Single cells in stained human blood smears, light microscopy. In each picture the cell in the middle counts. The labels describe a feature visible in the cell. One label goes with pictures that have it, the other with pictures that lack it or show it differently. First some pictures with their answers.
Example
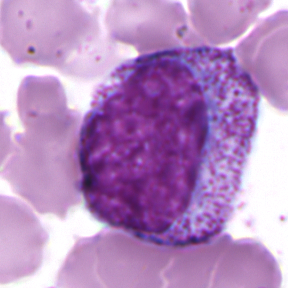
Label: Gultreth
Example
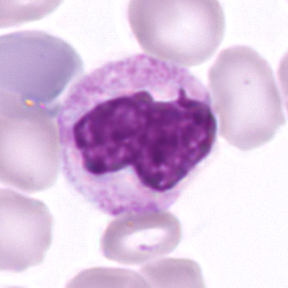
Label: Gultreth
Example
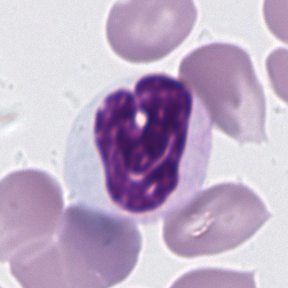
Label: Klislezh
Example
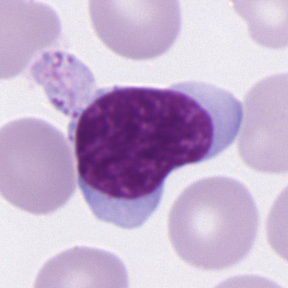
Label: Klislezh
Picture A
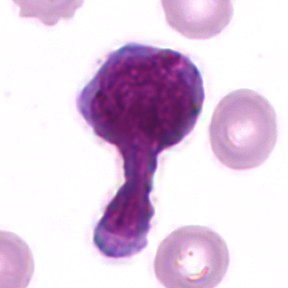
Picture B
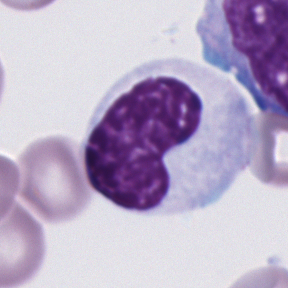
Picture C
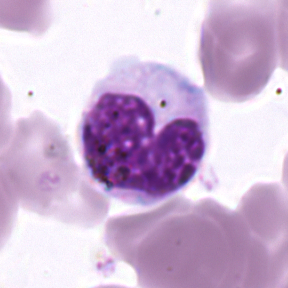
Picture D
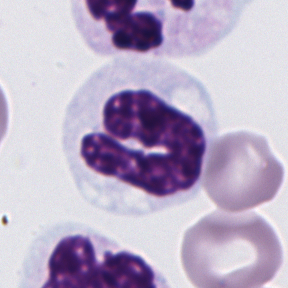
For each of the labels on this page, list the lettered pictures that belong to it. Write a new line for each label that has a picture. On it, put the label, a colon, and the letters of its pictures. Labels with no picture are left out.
Klislezh: A, B, C, D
